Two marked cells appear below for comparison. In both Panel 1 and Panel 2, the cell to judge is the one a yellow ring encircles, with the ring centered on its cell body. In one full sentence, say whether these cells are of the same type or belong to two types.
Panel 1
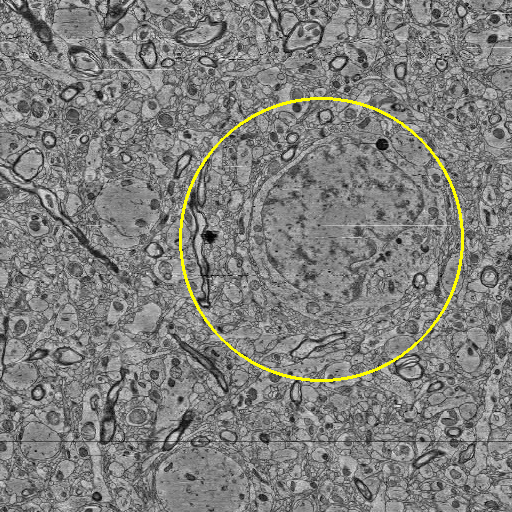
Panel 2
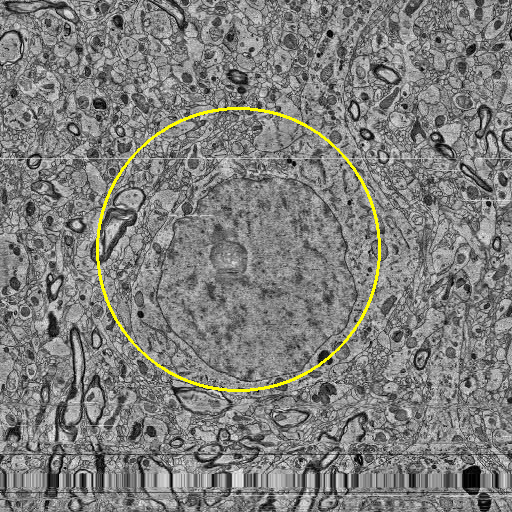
The cell centered in the Panel 1 ring and the one in Panel 2 belong to two types.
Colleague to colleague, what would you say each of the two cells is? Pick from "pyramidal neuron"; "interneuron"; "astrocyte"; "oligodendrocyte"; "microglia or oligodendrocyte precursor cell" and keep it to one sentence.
The cell in the first picture is an interneuron; the second picture's cell is a pyramidal neuron.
